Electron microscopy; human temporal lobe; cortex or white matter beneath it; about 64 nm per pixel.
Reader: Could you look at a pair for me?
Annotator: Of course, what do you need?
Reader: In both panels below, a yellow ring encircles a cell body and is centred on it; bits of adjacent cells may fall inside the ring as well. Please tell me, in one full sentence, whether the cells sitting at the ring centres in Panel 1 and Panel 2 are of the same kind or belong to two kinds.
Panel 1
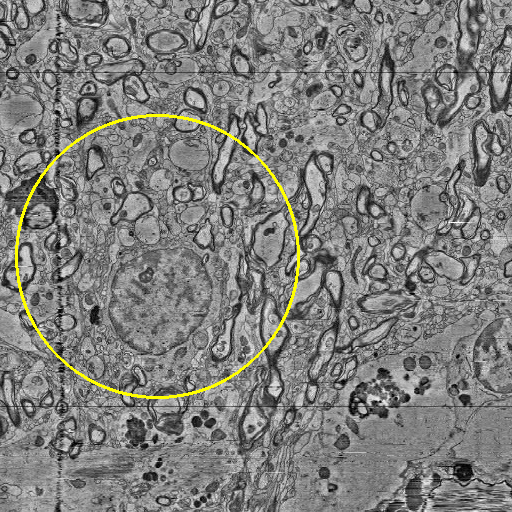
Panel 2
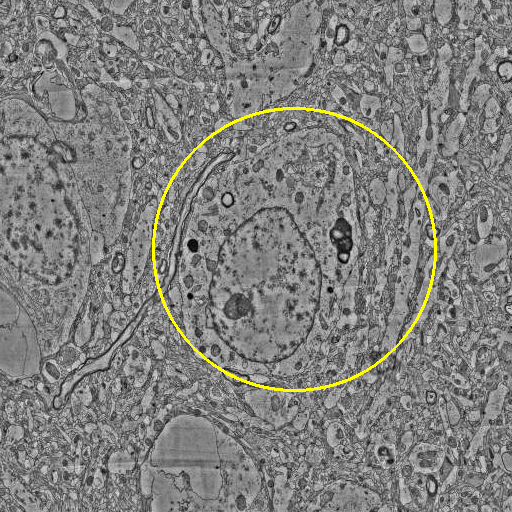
The cell at the ring's centre in Panel 1 and the one in Panel 2 belong to two kinds.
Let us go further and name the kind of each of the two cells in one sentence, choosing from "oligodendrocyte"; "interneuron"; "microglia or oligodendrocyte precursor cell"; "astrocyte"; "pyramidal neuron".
The ring of the first picture is on an oligodendrocyte, the ring of the second on a pyramidal neuron.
